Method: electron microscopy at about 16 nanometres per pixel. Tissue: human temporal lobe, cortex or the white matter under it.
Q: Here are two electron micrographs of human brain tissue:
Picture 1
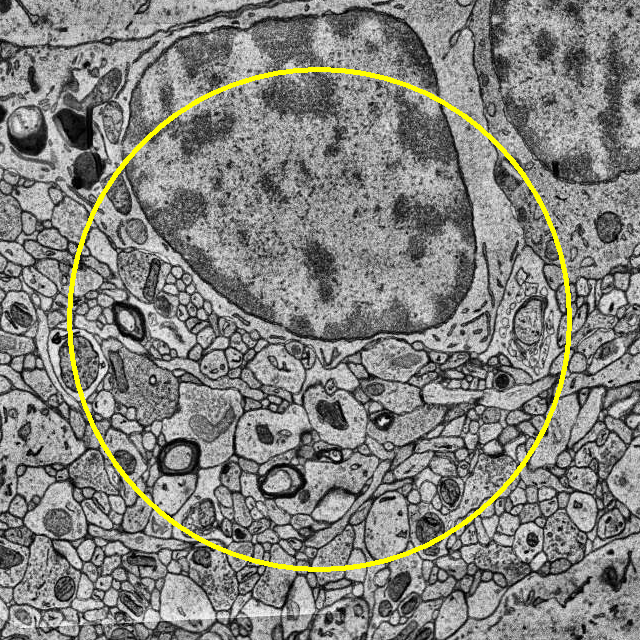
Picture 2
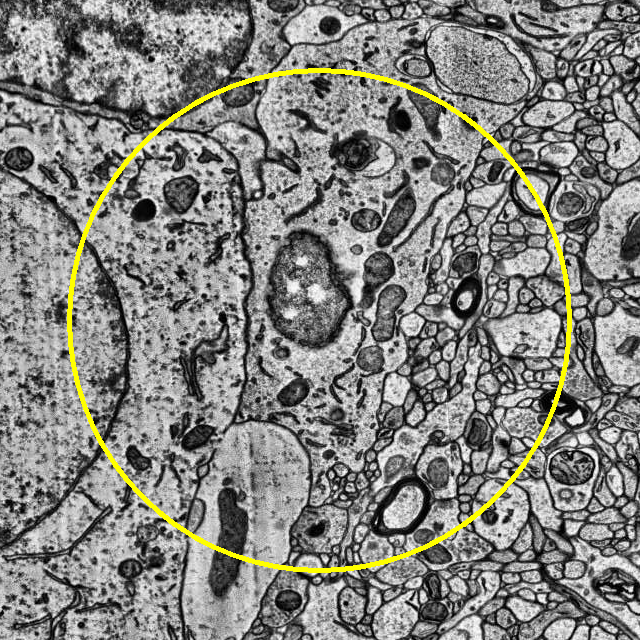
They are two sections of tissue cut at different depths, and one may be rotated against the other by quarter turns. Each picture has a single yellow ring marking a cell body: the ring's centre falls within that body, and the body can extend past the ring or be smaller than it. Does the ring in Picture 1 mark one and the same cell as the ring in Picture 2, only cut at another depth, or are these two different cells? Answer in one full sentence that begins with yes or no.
Yes, the two marked outlines come from one and the same cell.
